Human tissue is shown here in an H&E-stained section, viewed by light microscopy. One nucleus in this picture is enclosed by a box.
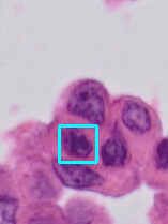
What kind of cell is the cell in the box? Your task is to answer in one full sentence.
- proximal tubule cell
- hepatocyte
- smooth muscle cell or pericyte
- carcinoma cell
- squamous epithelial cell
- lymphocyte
In this section, the cell in the box is a carcinoma cell.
